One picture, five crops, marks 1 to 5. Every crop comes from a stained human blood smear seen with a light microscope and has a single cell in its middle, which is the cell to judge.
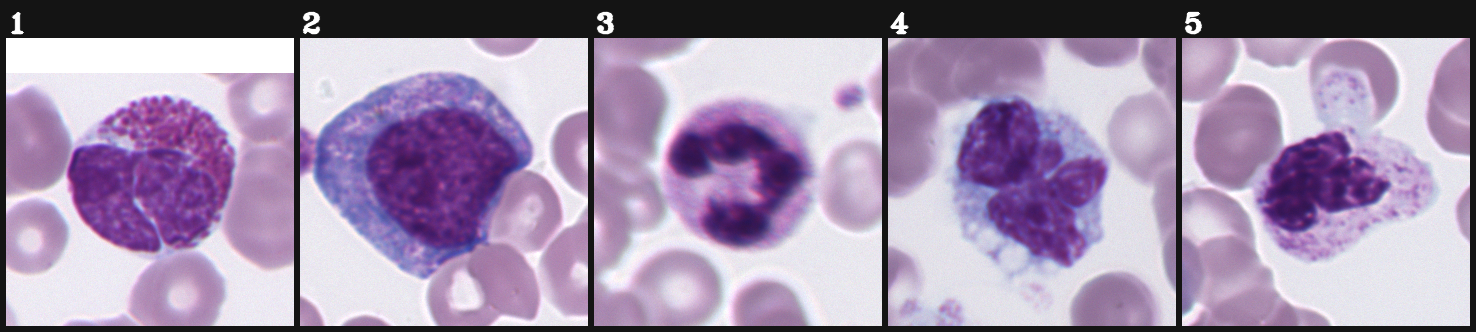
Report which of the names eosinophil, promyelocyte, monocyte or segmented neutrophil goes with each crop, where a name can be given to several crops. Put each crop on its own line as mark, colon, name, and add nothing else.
1: eosinophil
2: promyelocyte
3: segmented neutrophil
4: monocyte
5: segmented neutrophil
